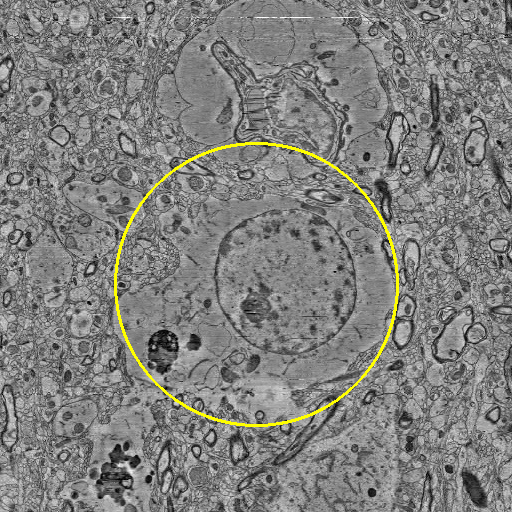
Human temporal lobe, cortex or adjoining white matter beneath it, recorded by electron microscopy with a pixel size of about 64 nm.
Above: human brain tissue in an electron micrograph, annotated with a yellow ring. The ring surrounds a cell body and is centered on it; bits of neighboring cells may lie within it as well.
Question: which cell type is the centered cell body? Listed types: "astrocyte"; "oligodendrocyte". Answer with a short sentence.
The centered cell body is an astrocyte.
